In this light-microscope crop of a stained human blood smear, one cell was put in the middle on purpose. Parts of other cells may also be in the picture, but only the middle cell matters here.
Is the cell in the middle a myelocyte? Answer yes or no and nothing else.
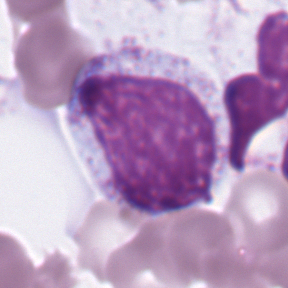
yes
